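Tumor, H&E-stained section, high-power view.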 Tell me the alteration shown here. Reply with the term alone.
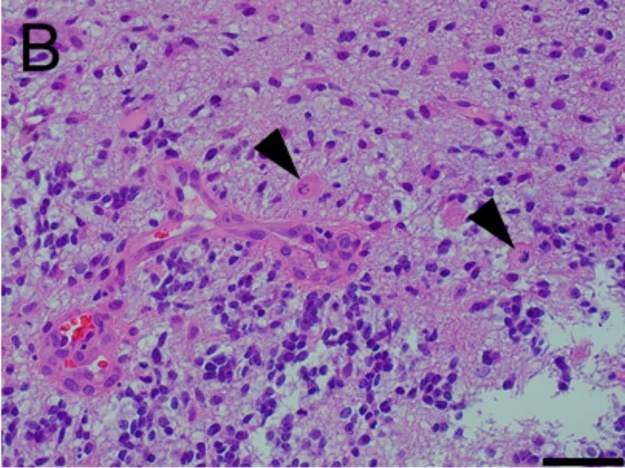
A: Microvascular proliferation.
